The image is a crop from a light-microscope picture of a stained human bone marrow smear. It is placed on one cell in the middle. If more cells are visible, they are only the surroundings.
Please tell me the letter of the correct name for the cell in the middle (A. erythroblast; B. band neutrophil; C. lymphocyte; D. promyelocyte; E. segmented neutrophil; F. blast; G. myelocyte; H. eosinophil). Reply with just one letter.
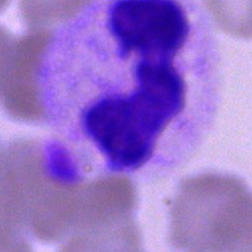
E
